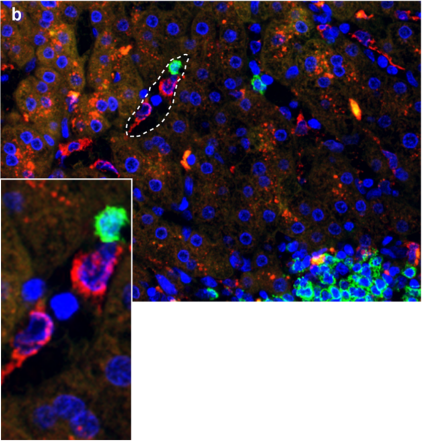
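Liver tissue shows large polygonal hepatocytes with round blue nuclei and faintly orange, dotted cytoplasm arranged in plates. A narrow sinusoid between the plates, outlined by a dashed line, holds elongated red-rimmed cells next to a small round green-rimmed cell, shown enlarged in the inset. Other red-rimmed elongated cells lie in neighbouring sinusoids, and a cluster of green-ringed lymphocytes occupies the lower right corner.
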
